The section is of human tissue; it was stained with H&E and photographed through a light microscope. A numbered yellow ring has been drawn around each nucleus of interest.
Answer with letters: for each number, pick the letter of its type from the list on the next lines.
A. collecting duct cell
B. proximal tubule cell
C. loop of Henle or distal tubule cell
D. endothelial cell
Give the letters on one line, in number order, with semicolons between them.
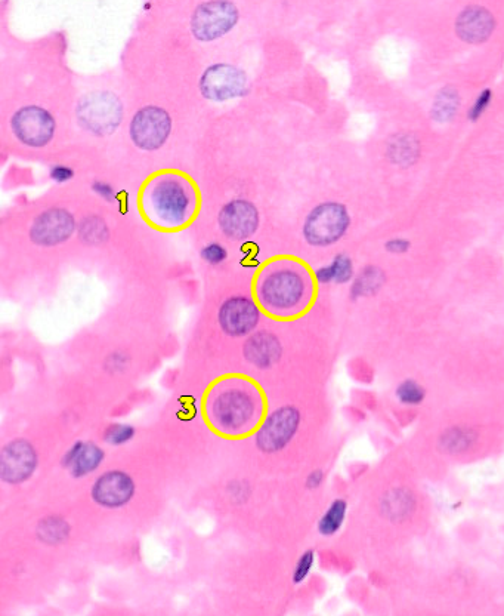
D; B; B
